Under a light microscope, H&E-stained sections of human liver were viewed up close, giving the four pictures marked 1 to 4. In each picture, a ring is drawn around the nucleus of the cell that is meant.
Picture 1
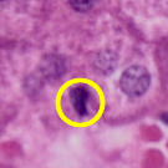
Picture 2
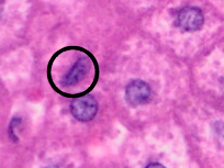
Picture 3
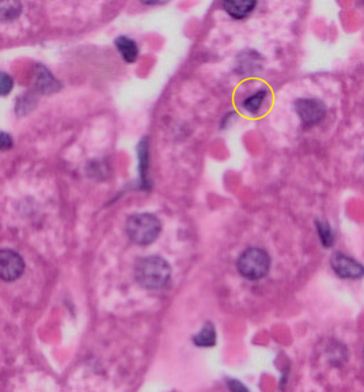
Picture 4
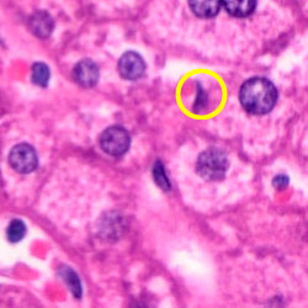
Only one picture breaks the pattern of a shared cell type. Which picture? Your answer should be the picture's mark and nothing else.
4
